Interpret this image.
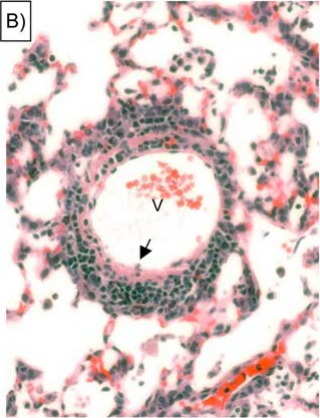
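Lung with a small vessel whose wall is thickened by a cuff of many layers of small lymphocytes with round, dark-purple nuclei and scant cytoplasm. Thin-walled alveoli surround the cuffed vessel.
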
